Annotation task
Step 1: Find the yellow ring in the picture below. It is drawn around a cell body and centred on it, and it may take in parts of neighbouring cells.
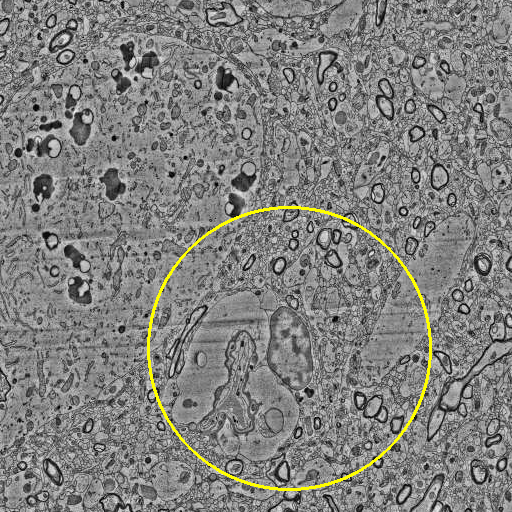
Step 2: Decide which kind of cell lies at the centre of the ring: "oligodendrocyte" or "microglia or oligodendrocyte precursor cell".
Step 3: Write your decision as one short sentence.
The kind of cell at the ring's centre is a microglial cell or oligodendrocyte precursor cell.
